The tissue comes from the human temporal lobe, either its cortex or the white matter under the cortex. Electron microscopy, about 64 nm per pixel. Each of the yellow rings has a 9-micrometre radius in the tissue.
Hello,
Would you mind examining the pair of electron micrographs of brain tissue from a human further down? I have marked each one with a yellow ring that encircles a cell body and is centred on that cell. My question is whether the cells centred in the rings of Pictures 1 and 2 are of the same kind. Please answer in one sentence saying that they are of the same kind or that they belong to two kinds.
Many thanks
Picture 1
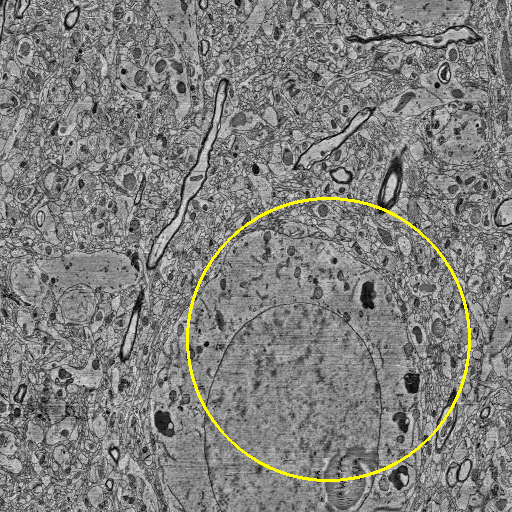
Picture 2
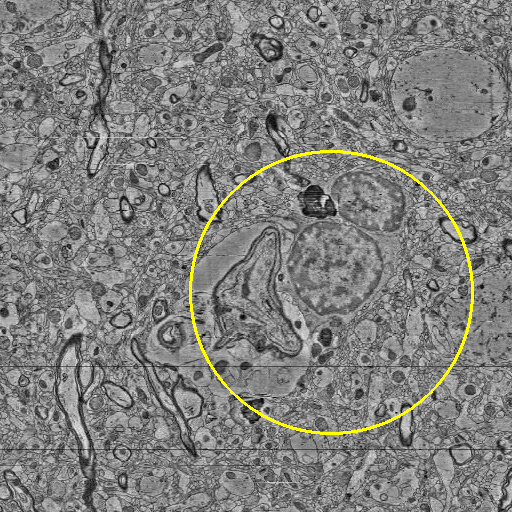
In Pictures 1 and 2, the cells at the heart of the rings belong to two kinds.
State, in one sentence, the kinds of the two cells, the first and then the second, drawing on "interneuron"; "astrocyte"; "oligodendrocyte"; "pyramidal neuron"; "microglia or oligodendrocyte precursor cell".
The ring in the second picture is centred on an oligodendrocyte, the ring in the first on a pyramidal neuron.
